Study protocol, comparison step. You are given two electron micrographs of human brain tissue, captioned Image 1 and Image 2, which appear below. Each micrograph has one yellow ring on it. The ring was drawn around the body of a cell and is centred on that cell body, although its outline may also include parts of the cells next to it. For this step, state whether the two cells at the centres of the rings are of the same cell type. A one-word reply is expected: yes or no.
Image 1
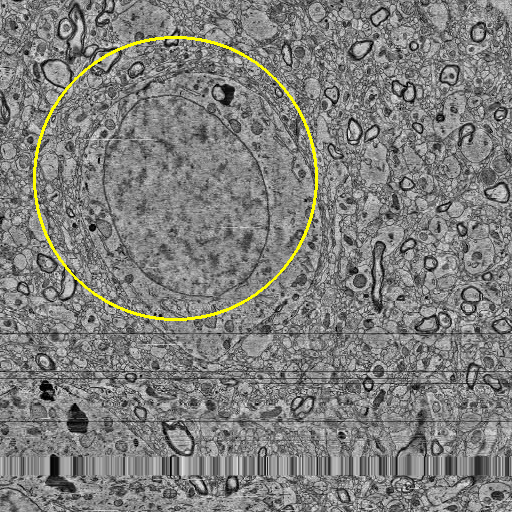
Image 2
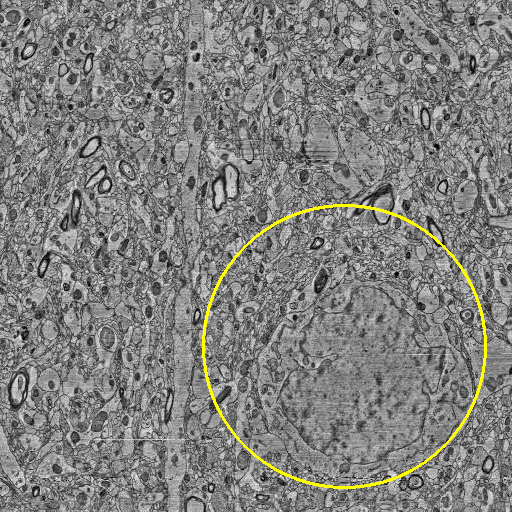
no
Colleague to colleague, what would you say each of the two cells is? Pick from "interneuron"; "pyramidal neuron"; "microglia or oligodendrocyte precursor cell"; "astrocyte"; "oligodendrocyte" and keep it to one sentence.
The cell in the first picture is a pyramidal neuron; the second picture's cell is an interneuron.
